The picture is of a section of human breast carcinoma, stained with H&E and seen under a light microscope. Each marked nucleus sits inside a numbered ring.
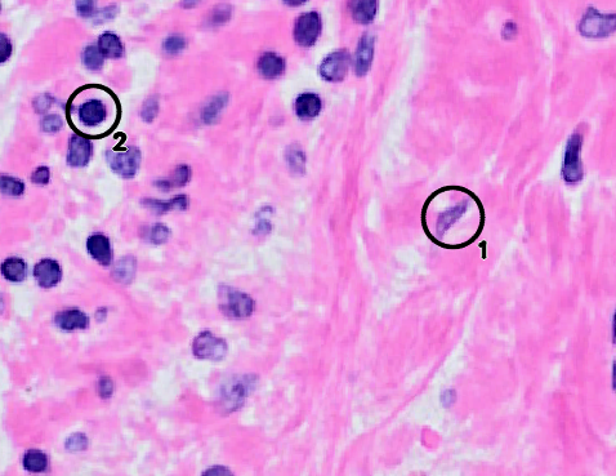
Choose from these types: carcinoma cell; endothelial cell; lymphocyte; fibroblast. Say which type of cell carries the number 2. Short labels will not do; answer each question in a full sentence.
Regarding cell 2, this one is a lymphocyte.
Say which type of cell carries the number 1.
The cell marked with the number 1 is a fibroblast.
